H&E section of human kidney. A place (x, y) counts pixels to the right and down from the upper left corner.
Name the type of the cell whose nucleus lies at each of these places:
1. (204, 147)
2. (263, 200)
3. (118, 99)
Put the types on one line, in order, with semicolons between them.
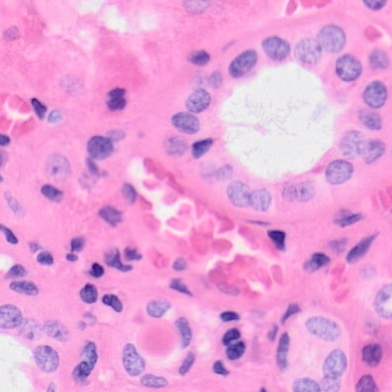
collecting duct cell; collecting duct cell; proximal tubule cell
